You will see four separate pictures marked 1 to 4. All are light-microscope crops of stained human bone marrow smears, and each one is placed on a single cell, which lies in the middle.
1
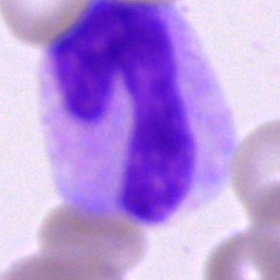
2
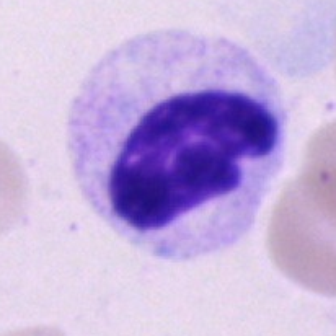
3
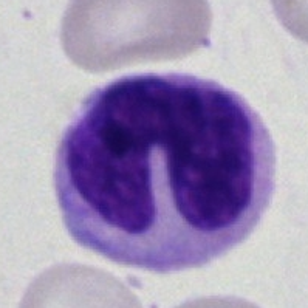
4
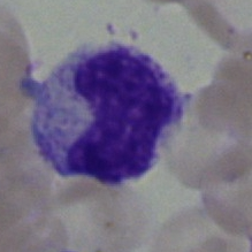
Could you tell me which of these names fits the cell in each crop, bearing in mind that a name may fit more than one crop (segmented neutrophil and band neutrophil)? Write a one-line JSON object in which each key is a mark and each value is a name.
{"1": "band neutrophil", "2": "segmented neutrophil", "3": "band neutrophil", "4": "band neutrophil"}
